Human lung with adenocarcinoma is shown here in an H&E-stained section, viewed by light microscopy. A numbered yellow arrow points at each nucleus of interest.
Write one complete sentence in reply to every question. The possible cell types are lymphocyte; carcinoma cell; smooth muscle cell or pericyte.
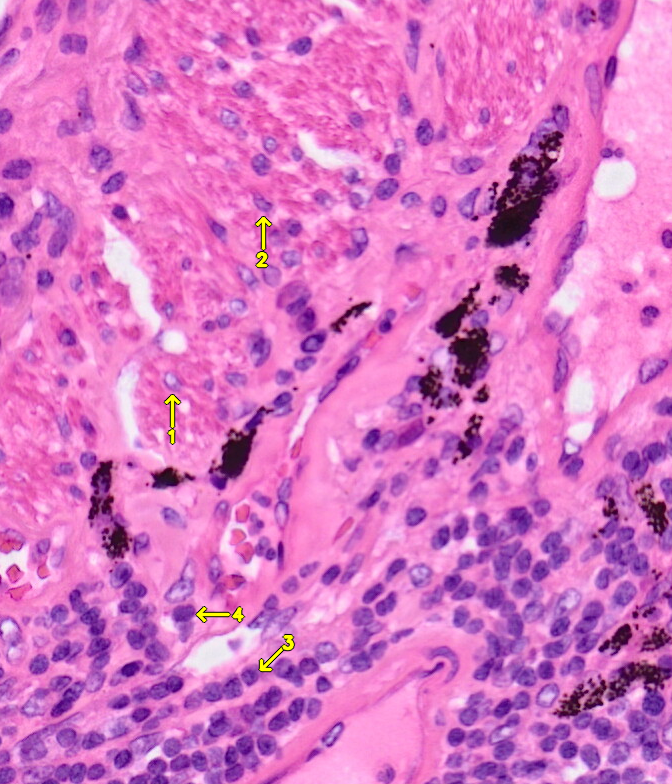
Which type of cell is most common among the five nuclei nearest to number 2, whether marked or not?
Most of the five nuclei nearest to number 2 are those of smooth muscle cells or pericytes.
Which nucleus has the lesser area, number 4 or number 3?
Nucleus 3 covers less area, with nucleus 4 about 1.5 times as large.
